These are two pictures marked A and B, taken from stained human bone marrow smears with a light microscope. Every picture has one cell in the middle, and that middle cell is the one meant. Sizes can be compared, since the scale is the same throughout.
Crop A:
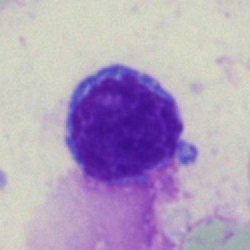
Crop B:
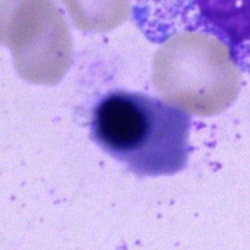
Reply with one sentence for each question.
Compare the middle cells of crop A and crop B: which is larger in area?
The cell in crop A is larger, with about 2 times the area of the one in crop B.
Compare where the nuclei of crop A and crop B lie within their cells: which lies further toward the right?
It is the nucleus in crop A that lies further toward the right of its cell.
